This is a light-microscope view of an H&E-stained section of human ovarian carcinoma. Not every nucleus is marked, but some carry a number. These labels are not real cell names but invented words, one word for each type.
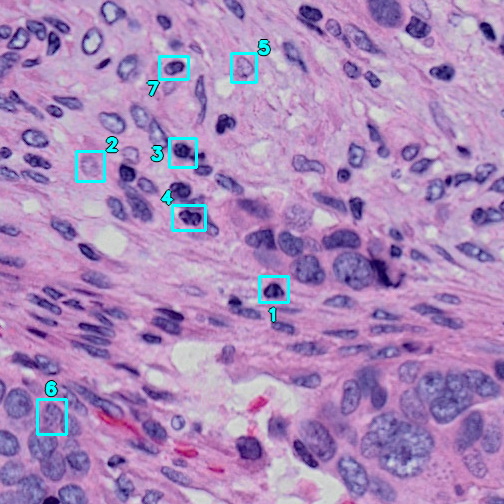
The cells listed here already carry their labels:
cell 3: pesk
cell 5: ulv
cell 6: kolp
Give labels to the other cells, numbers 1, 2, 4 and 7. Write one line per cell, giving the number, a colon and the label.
1: pesk
2: ulv
4: pesk
7: pesk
